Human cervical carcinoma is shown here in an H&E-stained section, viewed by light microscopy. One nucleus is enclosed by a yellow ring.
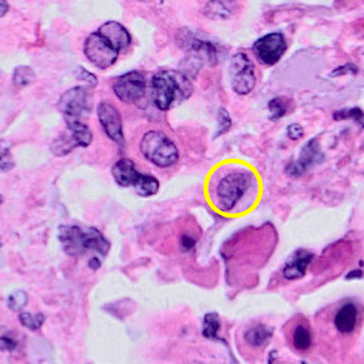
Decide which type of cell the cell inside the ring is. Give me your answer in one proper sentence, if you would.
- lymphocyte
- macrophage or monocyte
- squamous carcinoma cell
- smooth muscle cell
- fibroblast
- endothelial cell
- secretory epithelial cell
In the stained section, the cell inside the ring is a macrophage or monocyte.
